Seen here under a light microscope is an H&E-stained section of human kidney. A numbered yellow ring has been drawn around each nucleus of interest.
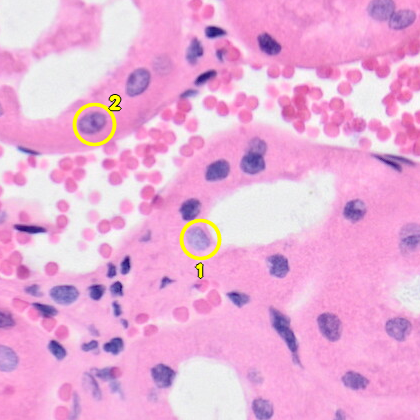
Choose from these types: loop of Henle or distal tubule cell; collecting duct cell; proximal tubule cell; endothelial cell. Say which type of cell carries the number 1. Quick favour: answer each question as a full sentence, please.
Cell 1, among those numbered, is a loop of Henle or distal tubule cell.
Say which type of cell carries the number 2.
It is as a proximal tubule cell that the cell numbered 2 is identified.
